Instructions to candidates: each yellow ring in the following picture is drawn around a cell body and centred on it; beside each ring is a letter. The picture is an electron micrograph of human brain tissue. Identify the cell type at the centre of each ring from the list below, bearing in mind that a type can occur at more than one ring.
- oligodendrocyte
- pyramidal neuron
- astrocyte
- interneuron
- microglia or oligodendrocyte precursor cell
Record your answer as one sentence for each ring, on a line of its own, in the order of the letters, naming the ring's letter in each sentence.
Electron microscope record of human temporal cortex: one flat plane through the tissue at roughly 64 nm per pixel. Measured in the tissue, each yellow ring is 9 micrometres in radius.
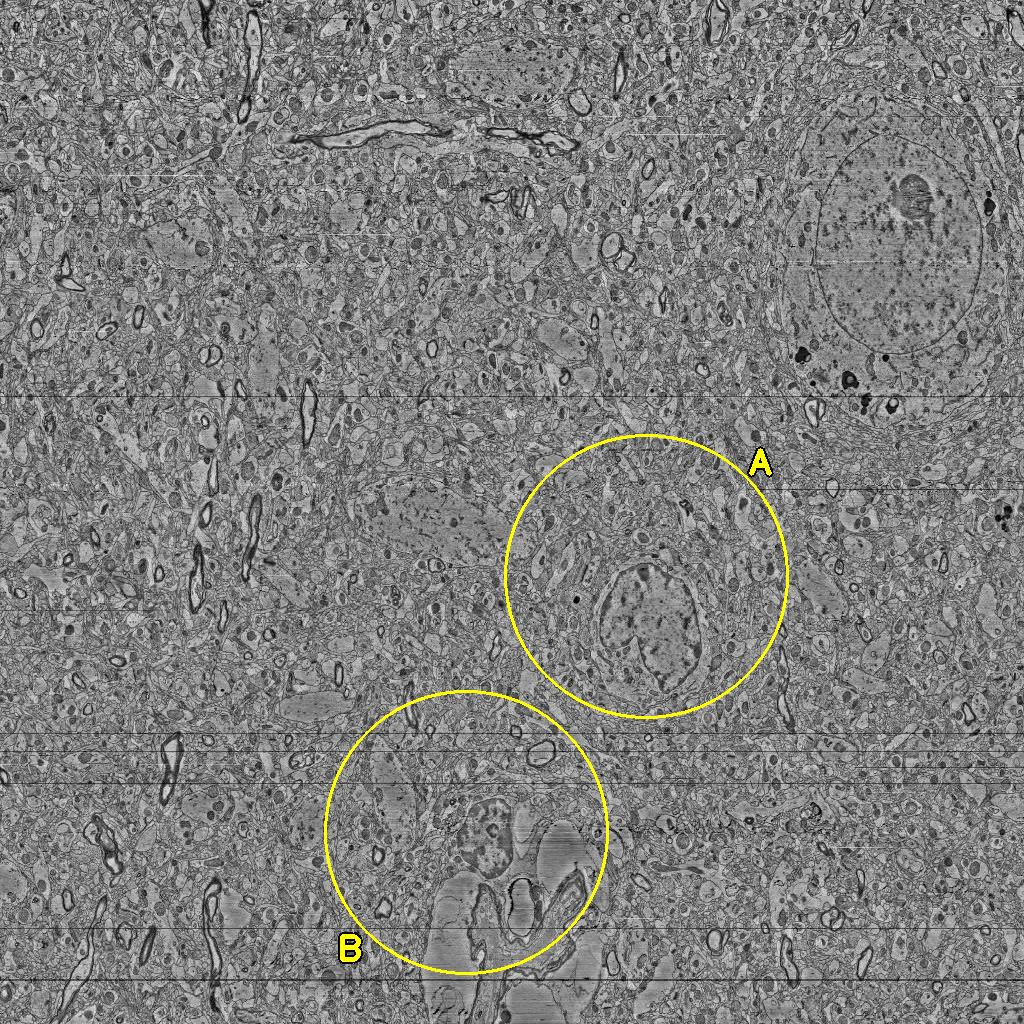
The cell centred in ring A is a microglial cell or oligodendrocyte precursor cell.
The cell centred in ring B is a microglial cell or oligodendrocyte precursor cell.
